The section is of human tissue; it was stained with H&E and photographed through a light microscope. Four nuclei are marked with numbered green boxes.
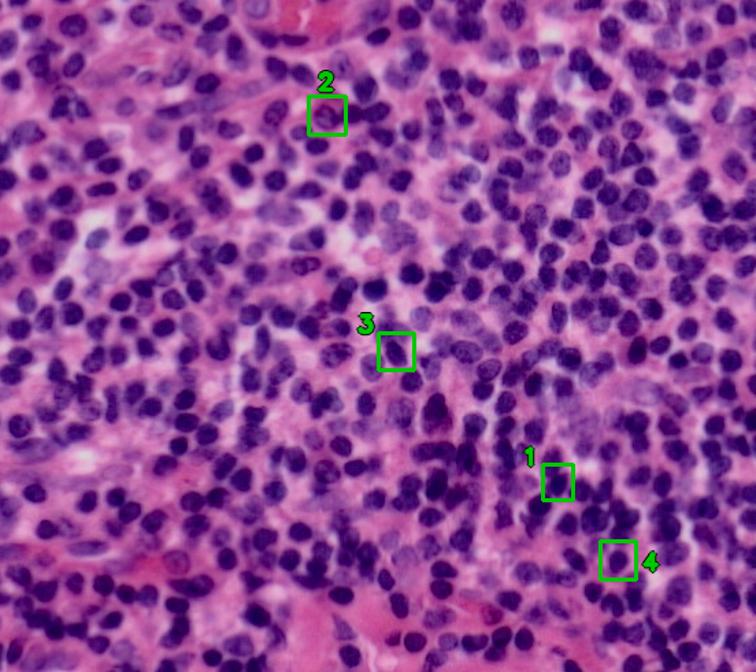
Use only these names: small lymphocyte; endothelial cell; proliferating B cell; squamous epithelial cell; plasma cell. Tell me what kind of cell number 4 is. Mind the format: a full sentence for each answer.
Numbered cell 4 is a small lymphocyte in this tissue section.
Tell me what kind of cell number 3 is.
Cell 3 of the marked set is a small lymphocyte.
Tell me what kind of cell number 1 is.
The cell bearing label 1 corresponds to a small lymphocyte.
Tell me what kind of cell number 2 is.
Among the marked nuclei, number 2 belongs to a plasma cell.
